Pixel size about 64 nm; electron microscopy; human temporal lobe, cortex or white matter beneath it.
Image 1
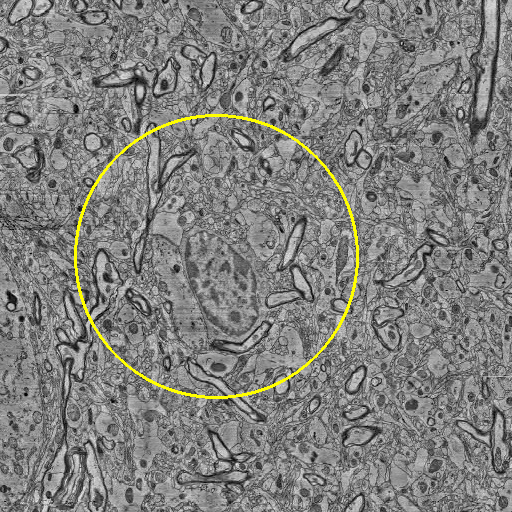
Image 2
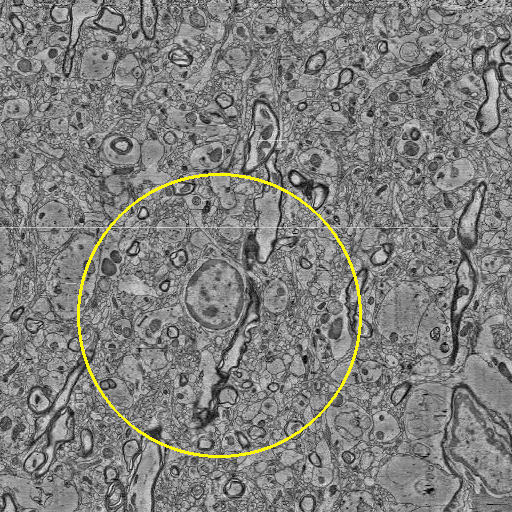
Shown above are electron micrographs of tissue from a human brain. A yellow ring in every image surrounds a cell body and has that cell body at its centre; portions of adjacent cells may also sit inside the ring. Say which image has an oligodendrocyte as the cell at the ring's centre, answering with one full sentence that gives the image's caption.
The image whose ring is centred on the requested cell is Image 1.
